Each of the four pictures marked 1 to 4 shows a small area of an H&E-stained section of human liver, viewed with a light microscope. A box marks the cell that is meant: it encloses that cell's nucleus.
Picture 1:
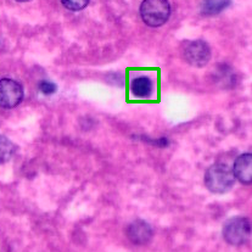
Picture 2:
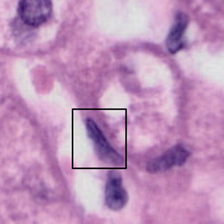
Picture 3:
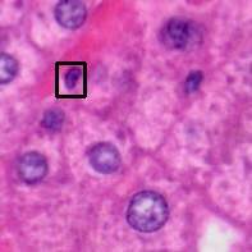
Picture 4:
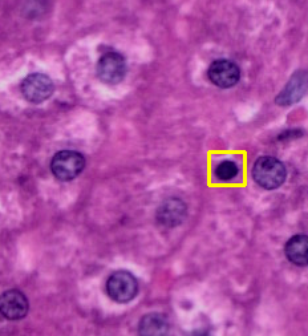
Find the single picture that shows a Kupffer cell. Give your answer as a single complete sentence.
The cell in picture 2 is the Kupffer cell.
